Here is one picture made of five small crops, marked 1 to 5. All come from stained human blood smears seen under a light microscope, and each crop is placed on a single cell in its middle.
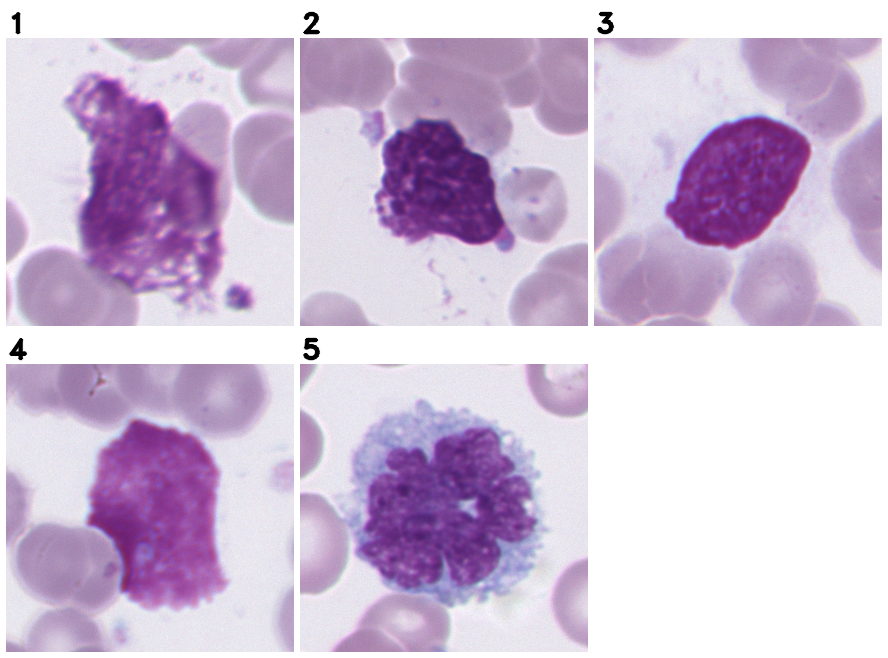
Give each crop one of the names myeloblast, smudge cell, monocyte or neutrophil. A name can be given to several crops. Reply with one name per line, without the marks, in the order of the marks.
smudge cell
smudge cell
smudge cell
smudge cell
monocyte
